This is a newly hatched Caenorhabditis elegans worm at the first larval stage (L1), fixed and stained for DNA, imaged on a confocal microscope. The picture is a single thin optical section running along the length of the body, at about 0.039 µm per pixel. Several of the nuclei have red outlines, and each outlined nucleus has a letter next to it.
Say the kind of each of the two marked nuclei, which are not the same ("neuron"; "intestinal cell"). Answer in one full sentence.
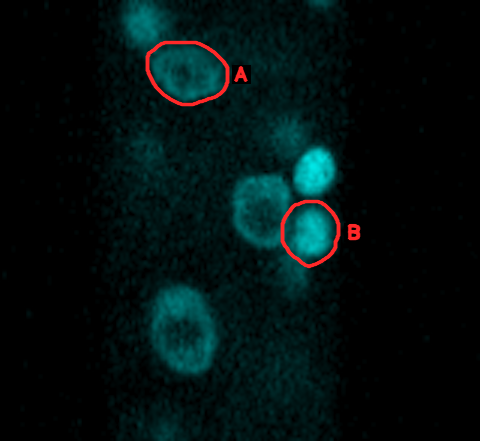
A belongs to an intestinal cell and B to a neuron.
